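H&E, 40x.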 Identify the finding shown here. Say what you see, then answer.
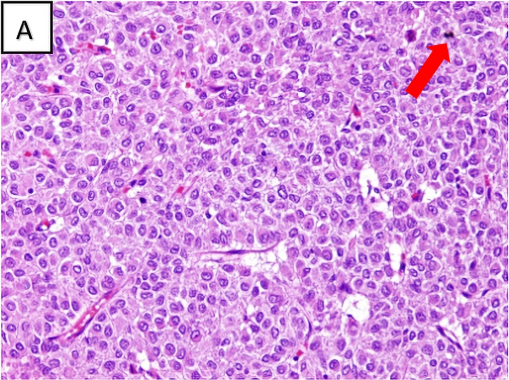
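Tumor cells are round to polygonal rather than spindle-shaped. Cells have round nuclei and pale eosinophilic cytoplasm. Cells lie in solid sheets with thin vessels between them.
Epithelioid pattern.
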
